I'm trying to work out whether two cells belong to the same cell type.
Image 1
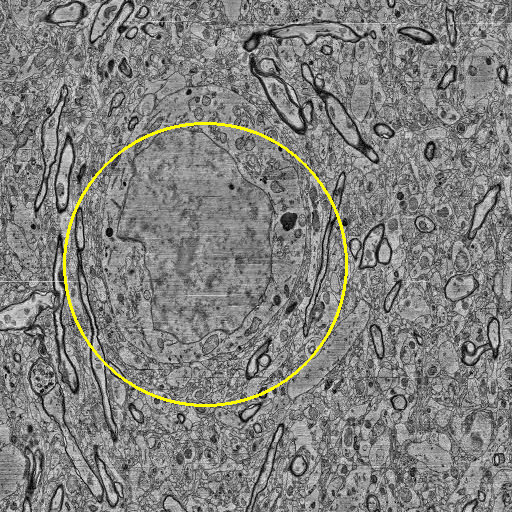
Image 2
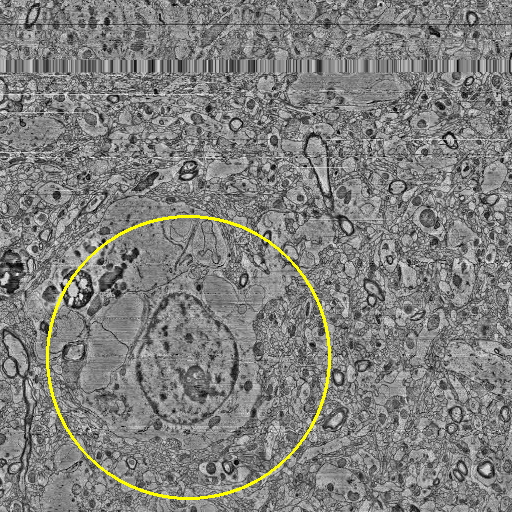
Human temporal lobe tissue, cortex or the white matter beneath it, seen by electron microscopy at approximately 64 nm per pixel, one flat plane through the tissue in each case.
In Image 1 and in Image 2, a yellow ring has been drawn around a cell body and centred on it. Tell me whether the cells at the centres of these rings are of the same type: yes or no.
no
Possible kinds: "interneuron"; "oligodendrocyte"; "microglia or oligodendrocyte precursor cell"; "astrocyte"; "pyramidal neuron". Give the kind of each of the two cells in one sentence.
The cell in the second picture is an astrocyte, and that in the first is a pyramidal neuron.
